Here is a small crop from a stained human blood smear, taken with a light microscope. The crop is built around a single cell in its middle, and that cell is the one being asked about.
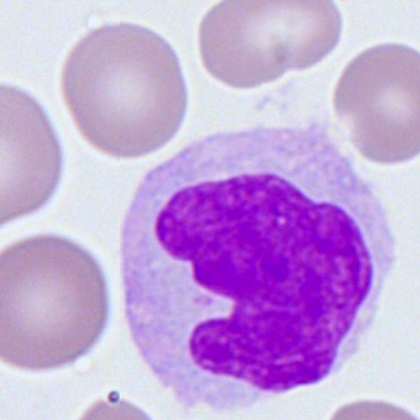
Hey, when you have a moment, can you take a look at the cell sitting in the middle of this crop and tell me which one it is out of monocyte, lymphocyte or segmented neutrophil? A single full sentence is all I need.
The cell occupying the middle of the crop is a monocyte.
